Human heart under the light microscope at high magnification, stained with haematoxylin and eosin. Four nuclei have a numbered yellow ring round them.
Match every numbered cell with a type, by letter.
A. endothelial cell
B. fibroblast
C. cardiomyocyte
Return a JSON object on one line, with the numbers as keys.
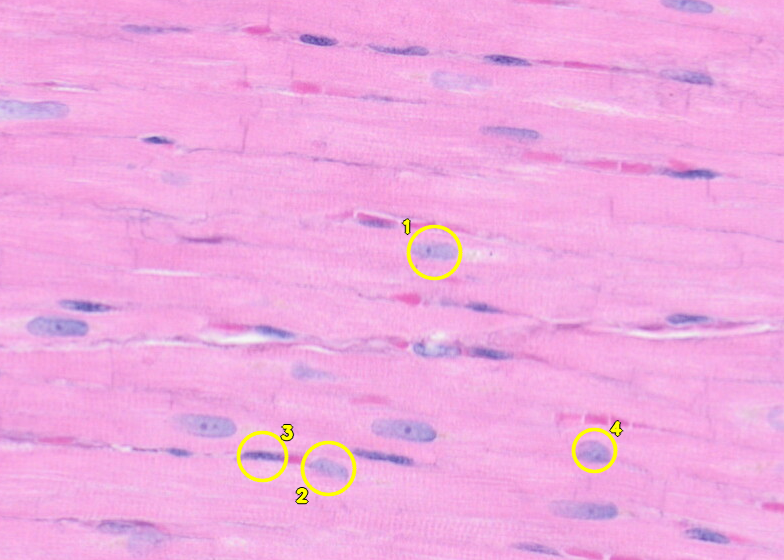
{"1": "C", "2": "C", "3": "A", "4": "C"}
